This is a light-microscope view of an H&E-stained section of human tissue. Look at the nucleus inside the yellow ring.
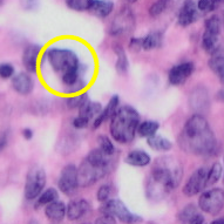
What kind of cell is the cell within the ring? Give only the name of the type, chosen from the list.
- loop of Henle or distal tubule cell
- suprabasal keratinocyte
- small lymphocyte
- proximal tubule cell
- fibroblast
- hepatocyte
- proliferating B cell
proliferating B cell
